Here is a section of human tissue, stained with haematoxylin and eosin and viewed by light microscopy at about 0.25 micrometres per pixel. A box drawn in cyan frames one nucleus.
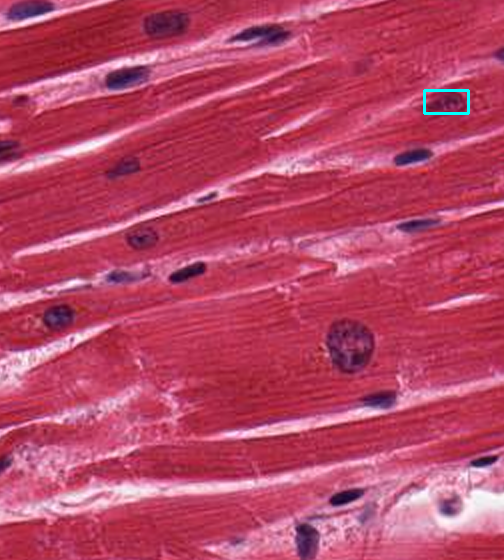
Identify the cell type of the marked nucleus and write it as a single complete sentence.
Within a cardiomyocyte lies the marked nucleus.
